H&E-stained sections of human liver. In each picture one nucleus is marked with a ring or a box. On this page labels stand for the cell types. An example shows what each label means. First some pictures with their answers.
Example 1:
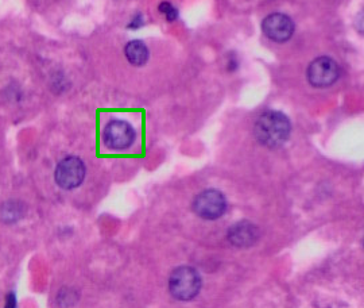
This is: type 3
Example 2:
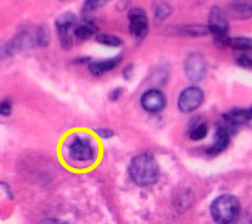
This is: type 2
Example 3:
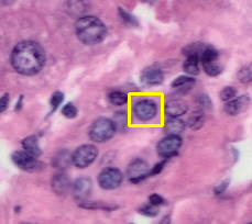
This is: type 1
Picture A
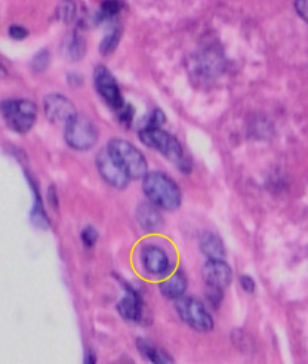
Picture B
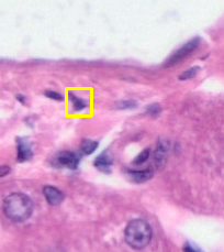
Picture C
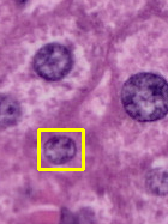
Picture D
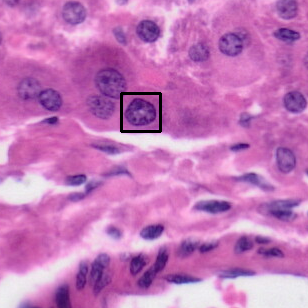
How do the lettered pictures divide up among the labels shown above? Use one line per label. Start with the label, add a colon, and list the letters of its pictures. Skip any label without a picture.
type 3: C, D
type 2: B
type 1: A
